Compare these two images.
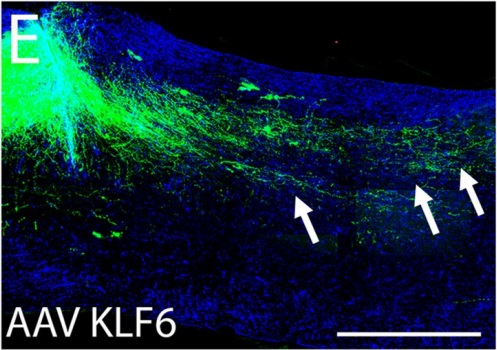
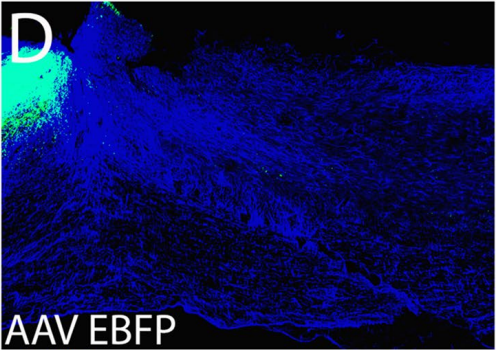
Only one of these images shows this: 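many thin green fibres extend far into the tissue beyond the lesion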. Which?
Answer: The first image.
